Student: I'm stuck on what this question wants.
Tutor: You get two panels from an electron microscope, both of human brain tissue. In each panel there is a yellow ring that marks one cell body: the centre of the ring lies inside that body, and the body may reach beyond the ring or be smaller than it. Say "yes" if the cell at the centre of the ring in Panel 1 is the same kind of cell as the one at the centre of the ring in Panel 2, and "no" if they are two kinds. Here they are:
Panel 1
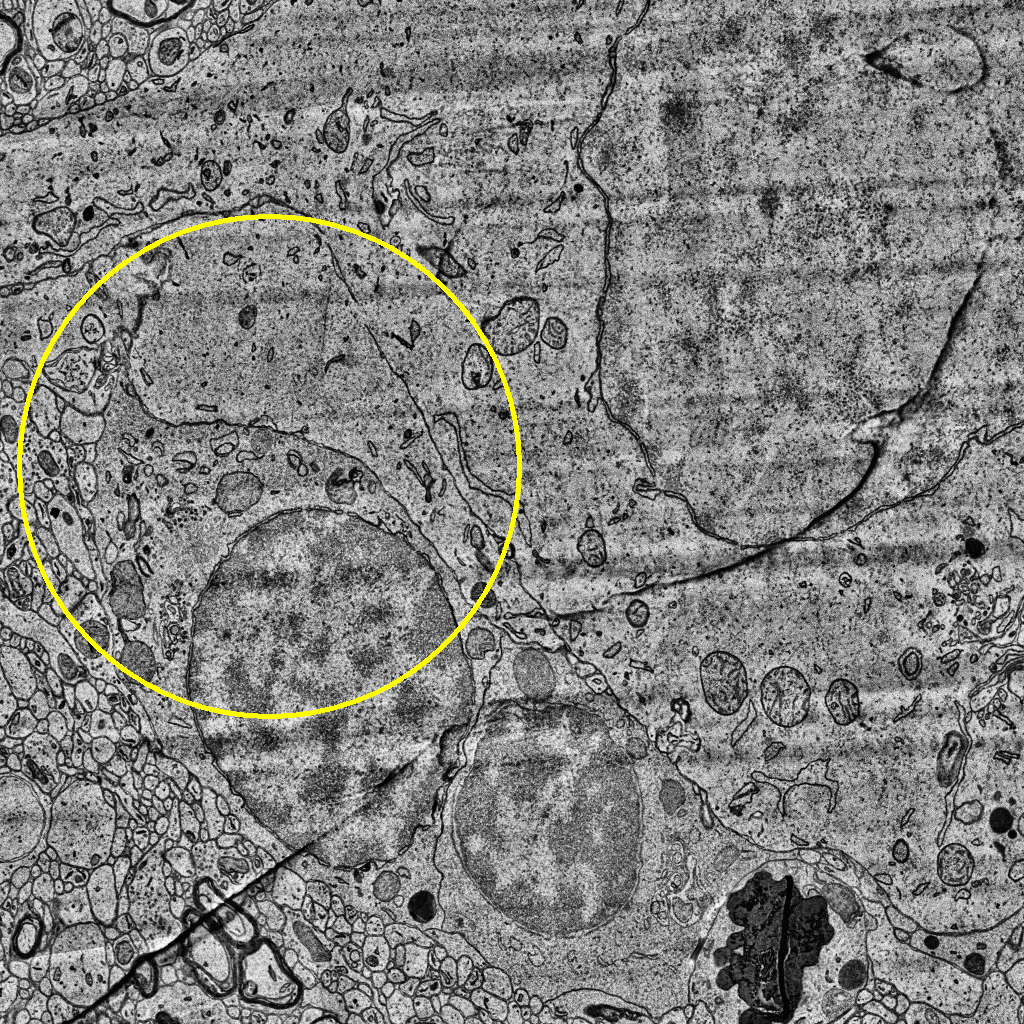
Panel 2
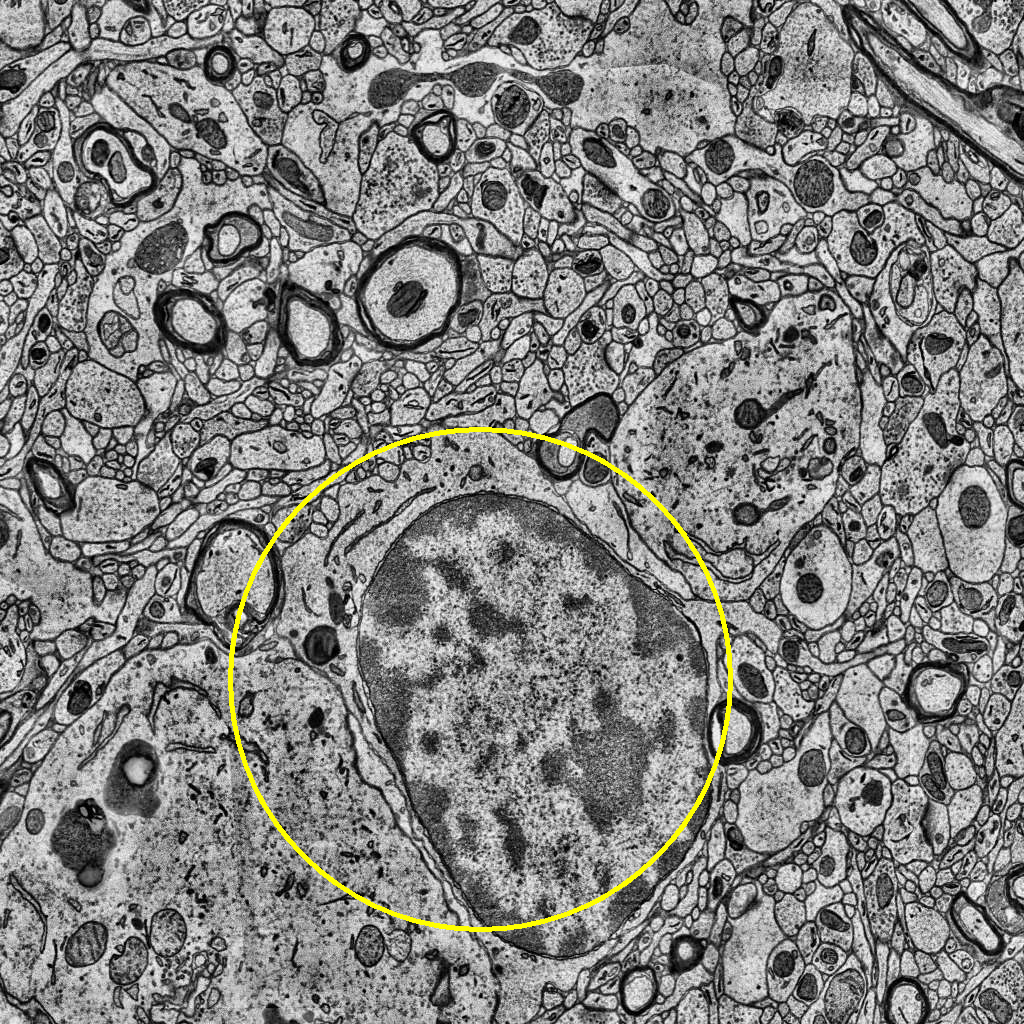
no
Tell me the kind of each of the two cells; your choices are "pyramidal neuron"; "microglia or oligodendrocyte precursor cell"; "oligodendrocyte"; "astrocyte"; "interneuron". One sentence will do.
The first picture's cell is an oligodendrocyte, and the second picture's cell is a microglial cell or oligodendrocyte precursor cell.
